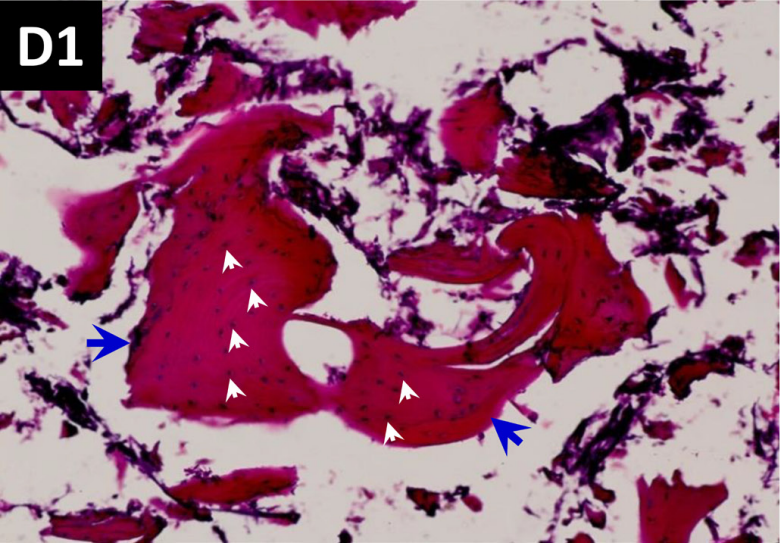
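Large, irregular fragments of bone matrix stain deep pink and hold osteocytes in small spaces scattered through them. The osteocyte nuclei appear as small dark dots spaced fairly evenly through the matrix, which shows faint layered lines. Around the fragments lie loose, irregular pieces of pink and dark purple material separated by empty spaces.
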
